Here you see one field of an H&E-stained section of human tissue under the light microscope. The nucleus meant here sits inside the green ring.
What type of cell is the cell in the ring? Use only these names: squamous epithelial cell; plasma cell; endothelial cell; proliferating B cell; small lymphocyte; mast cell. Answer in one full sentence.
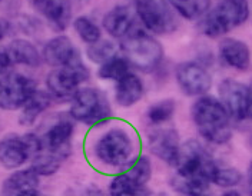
What the cell in the ring represents is a proliferating B cell.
